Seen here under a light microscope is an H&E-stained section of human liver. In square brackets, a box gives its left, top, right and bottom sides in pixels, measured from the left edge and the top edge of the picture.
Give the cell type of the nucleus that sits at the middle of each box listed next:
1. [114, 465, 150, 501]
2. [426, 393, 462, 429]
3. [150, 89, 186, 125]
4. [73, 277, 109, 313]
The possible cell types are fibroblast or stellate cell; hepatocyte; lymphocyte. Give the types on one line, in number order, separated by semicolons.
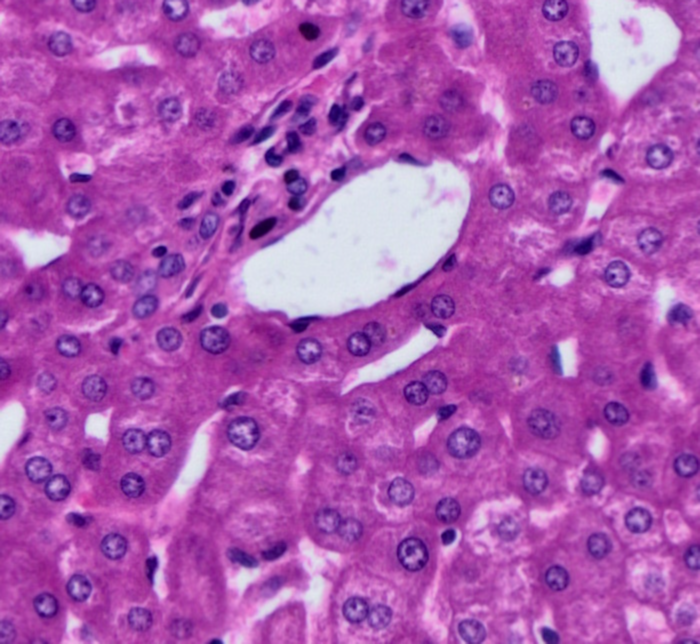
hepatocyte; fibroblast or stellate cell; hepatocyte; hepatocyte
